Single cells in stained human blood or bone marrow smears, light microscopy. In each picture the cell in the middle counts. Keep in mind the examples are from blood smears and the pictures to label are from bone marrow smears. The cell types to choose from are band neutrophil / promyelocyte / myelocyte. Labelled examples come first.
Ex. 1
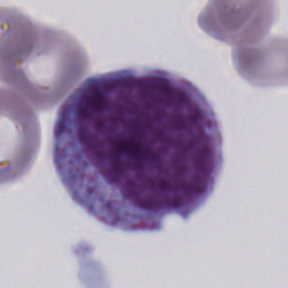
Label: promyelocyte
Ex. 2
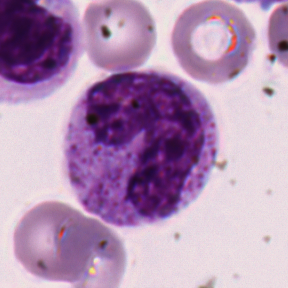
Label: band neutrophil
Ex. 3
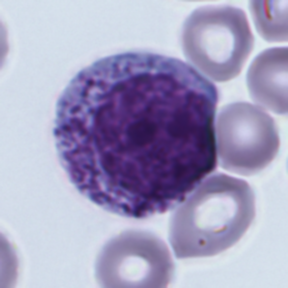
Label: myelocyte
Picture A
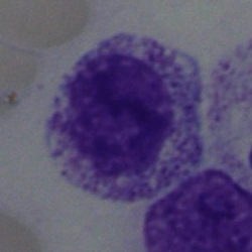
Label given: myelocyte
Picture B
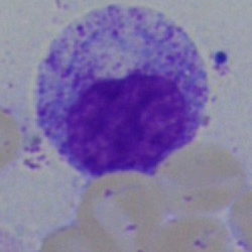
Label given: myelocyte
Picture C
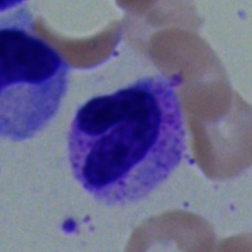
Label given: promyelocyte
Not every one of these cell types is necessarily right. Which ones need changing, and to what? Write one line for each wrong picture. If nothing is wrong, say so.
Wrong: C (promyelocyte); correct: band neutrophil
